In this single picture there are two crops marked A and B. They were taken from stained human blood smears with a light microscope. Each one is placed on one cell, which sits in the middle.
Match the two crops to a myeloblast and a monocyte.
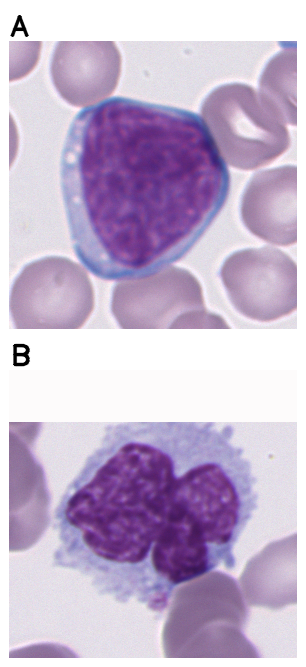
A: myeloblast
B: monocyte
